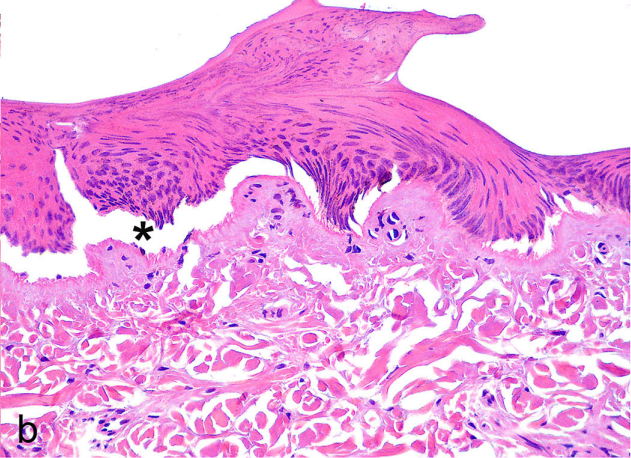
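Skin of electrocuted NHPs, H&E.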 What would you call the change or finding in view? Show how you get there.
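Epidermal stretched nuclei. Nuclei in the epidermis are long and thin. The elongated nuclei are aligned in parallel, streaming in one direction.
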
